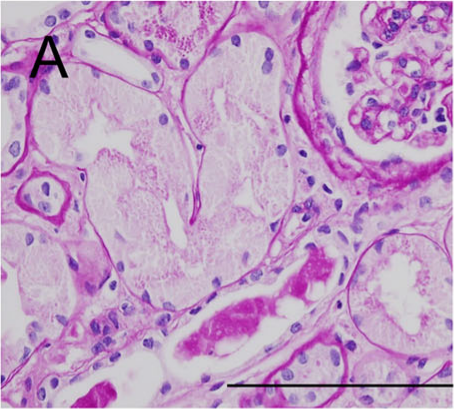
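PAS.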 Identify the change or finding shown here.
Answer: Swollen tubules with abundant glassy cytoplasm.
